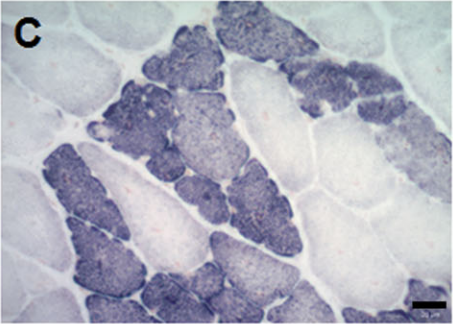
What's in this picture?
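Cross-section of skeletal muscle with a mosaic of dark blue and pale fibers. Dark fibers are mostly small, with irregular, lobulated outlines and granular interiors. Pale fibers are larger, rounded to elongated, with faint even staining. Fiber size varies widely across the field.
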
